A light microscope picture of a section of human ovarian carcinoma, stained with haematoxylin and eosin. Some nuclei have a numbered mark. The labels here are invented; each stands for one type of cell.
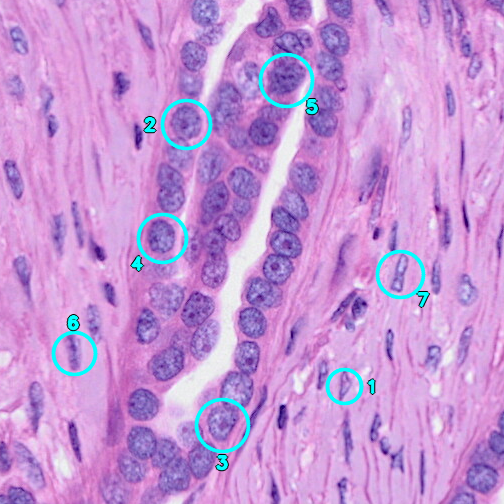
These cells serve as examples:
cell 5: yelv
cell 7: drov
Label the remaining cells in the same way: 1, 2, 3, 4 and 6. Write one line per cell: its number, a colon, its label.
1: drov
2: yelv
3: yelv
4: yelv
6: drov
